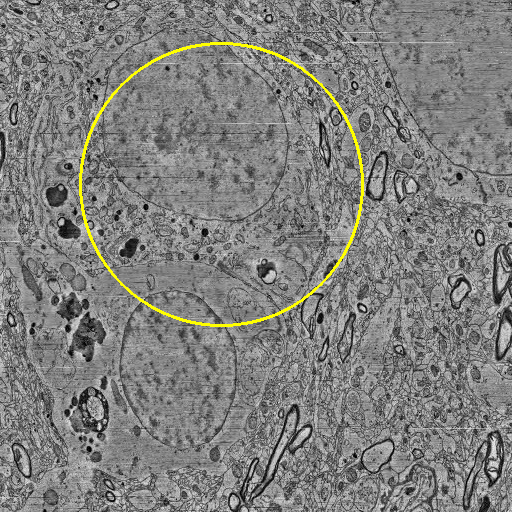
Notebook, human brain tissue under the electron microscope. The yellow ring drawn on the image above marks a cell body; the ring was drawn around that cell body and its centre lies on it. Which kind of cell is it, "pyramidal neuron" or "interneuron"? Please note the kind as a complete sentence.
The marked cell body is that of a pyramidal neuron.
